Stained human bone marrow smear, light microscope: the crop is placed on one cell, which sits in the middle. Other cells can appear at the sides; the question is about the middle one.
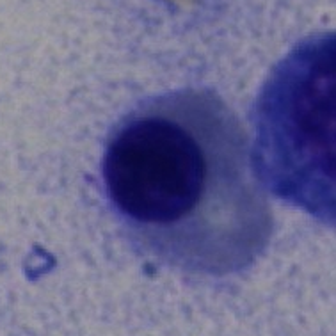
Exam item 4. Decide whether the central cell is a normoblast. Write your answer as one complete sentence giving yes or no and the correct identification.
Yes, the cell here in the middle is a normoblast.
